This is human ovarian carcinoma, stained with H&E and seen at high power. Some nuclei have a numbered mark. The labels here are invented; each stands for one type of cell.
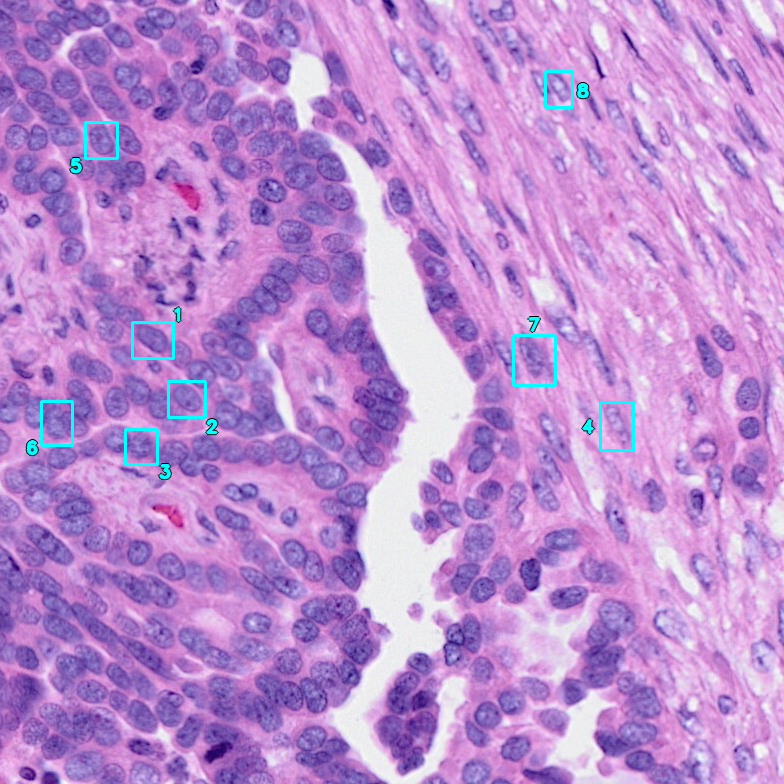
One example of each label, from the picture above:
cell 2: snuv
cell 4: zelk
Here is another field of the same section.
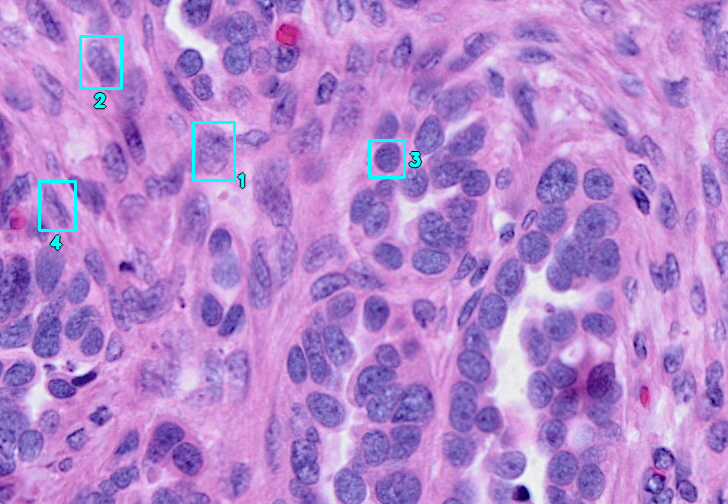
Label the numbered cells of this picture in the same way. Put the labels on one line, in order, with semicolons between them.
zelk; zelk; snuv; zelk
